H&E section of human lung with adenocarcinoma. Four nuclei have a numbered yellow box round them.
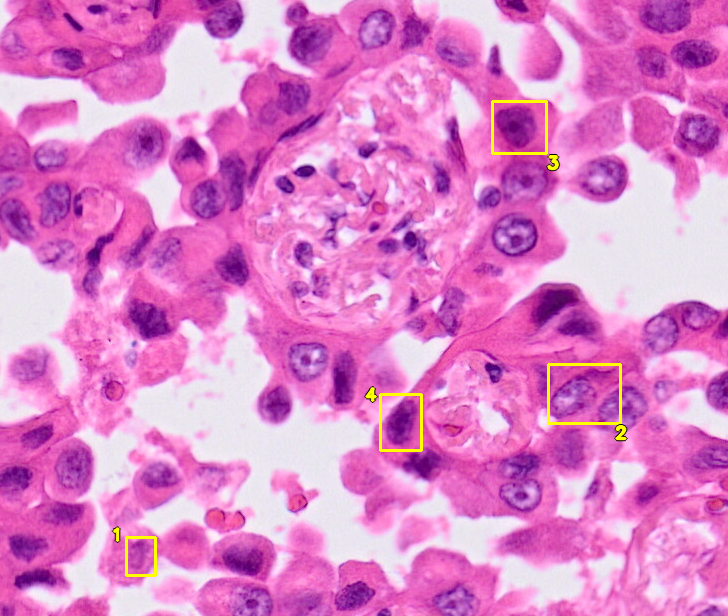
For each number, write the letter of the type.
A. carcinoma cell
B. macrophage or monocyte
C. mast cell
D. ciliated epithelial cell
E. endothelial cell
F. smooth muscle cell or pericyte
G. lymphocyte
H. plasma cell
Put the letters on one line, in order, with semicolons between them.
B; A; A; A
